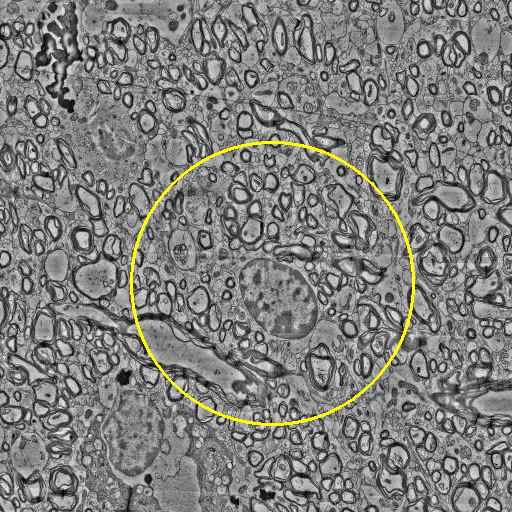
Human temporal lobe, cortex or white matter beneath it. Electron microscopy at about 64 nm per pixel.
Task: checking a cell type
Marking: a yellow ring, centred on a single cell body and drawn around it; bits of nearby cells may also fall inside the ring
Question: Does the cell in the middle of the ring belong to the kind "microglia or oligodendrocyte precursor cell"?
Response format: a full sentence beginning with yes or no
Yes, the cell marked at the ring's centre in the picture is of that kind.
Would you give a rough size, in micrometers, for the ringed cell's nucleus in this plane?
In this plane, roughly 6 by 4 micrometres.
